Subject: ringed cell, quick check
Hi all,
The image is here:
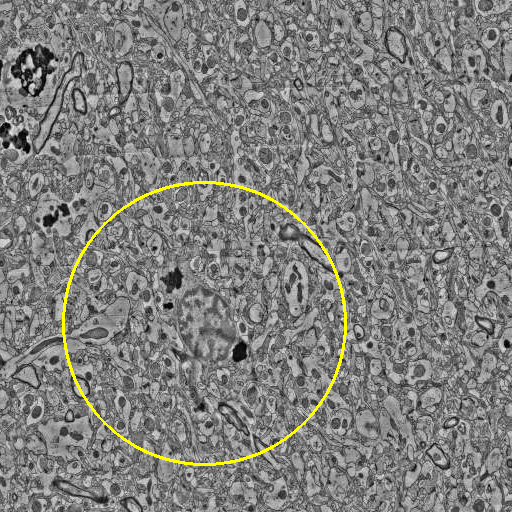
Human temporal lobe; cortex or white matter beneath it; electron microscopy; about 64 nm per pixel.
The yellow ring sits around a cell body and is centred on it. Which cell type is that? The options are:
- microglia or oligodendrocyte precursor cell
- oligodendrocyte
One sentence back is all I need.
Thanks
That ringed cell is an oligodendrocyte.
